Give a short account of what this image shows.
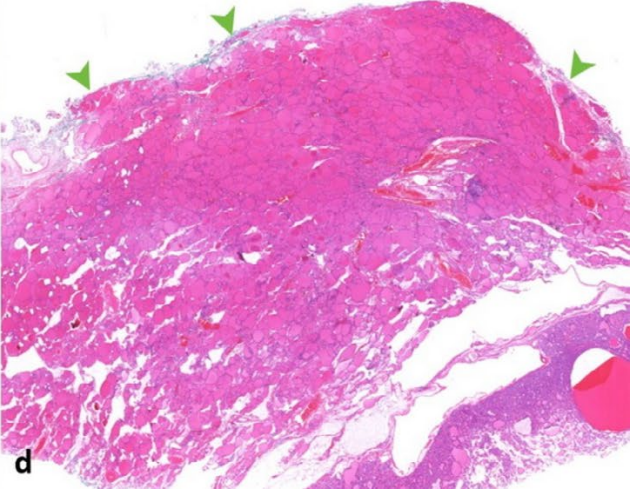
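This low-power section shows a thyroid nodule made of densely packed follicles, bounded along its upper edge by a thin fibrous capsule. The follicles are small to medium, rounded and crowded, and filled with pink colloid, so the mass appears uniformly pink. Scattered slit-like spaces and small vessels containing red blood cells run through it. Toward the lower right, beyond a clear cleft, lies a separate strip of more purple, cell-dense tissue.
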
